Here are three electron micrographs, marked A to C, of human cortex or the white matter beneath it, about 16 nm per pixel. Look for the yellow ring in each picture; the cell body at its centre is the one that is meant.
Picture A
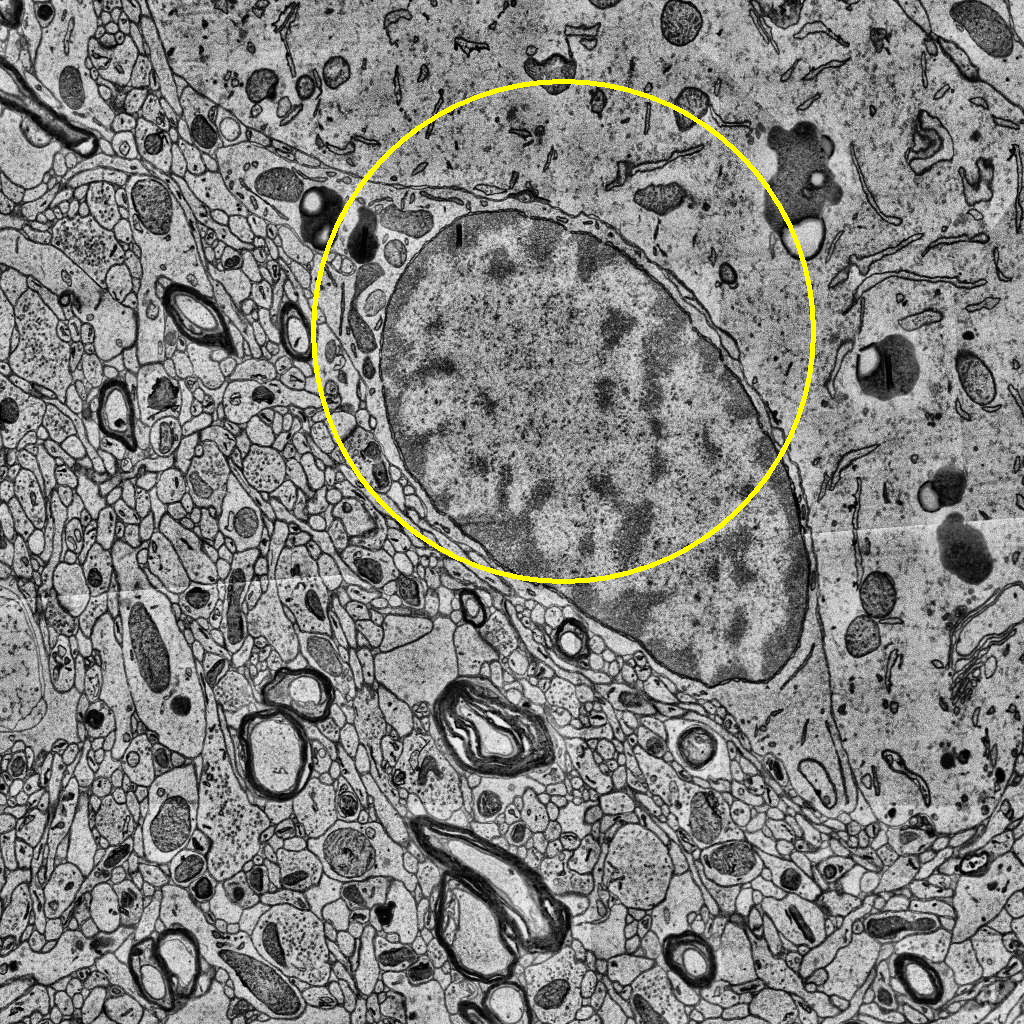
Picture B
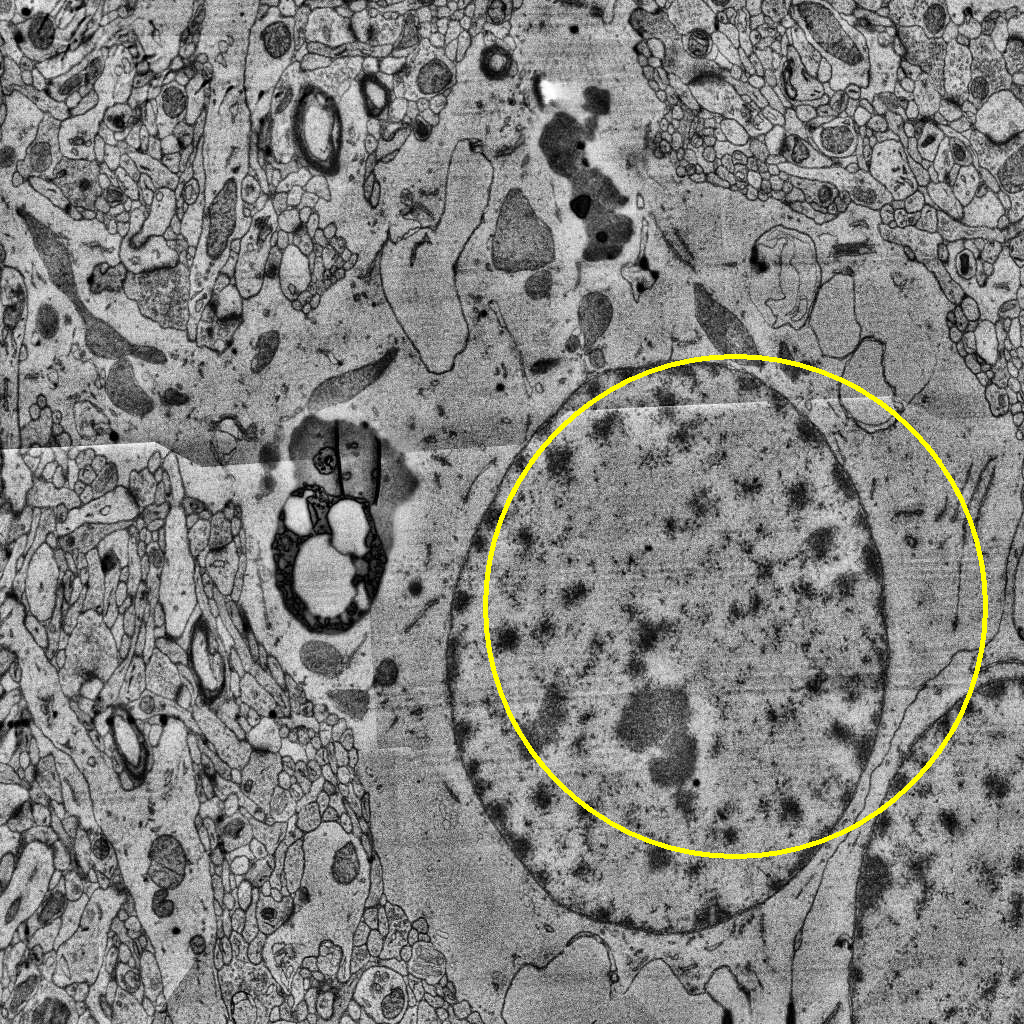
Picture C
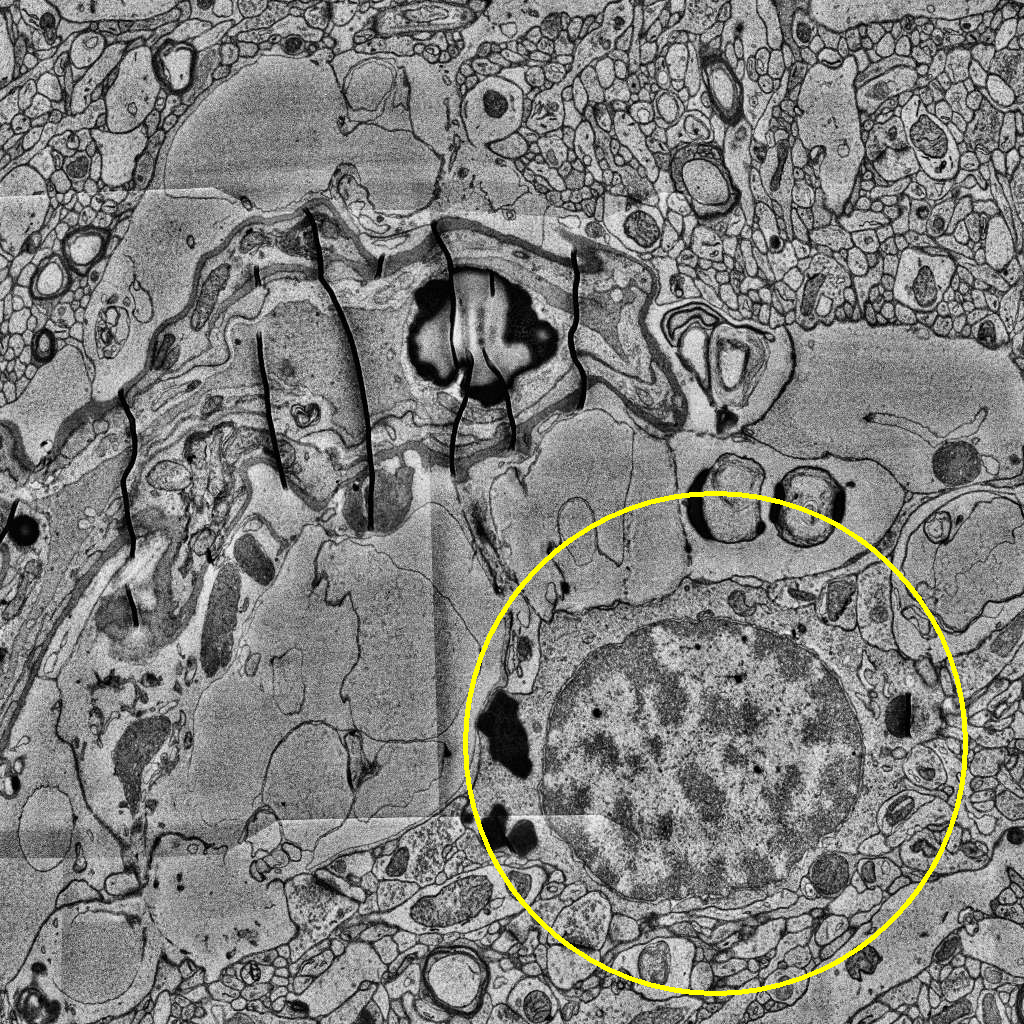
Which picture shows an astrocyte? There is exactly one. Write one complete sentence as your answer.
The astrocyte is the one in picture B.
